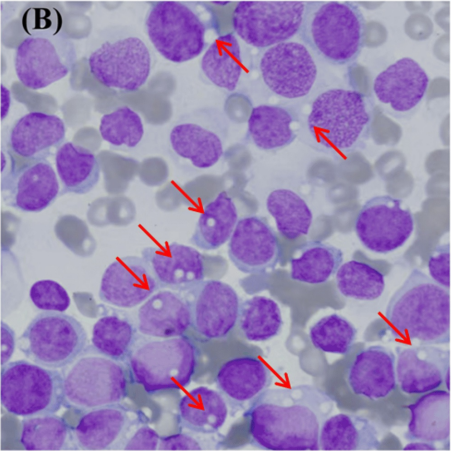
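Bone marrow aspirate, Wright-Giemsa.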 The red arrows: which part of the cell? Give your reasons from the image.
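Vacuoles. The red arrows point to small round clear holes within the cells' cytoplasm or over their nuclei. The clear holes are sharply outlined and unstained.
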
